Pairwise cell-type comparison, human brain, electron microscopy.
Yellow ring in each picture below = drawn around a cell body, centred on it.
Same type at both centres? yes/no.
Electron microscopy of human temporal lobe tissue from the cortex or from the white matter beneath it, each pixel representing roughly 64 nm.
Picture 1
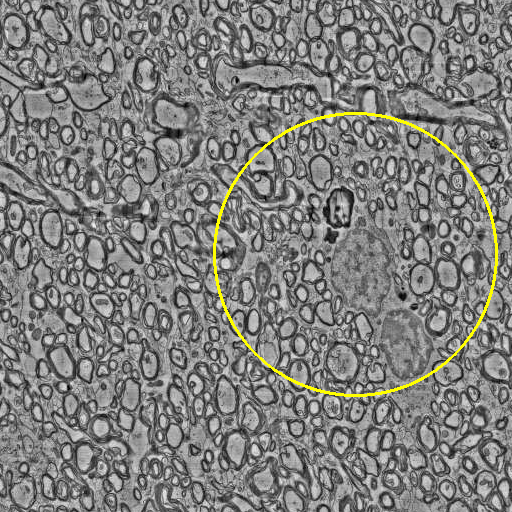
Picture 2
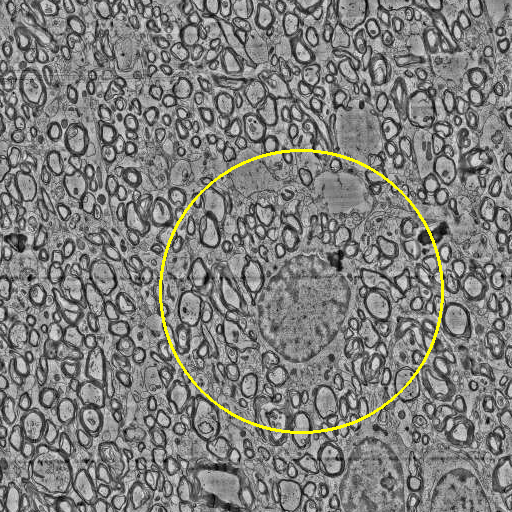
yes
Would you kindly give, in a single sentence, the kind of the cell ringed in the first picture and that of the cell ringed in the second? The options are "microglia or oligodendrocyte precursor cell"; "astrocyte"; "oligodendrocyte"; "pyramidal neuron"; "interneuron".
The second cell is an oligodendrocyte, just as the first is.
